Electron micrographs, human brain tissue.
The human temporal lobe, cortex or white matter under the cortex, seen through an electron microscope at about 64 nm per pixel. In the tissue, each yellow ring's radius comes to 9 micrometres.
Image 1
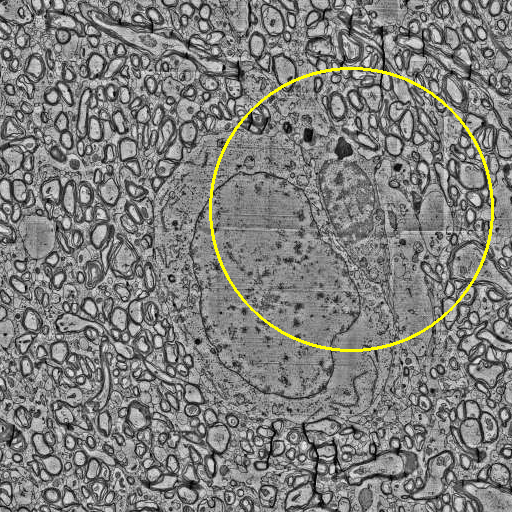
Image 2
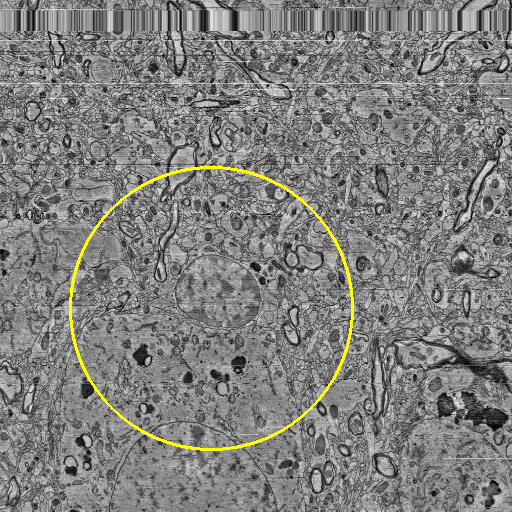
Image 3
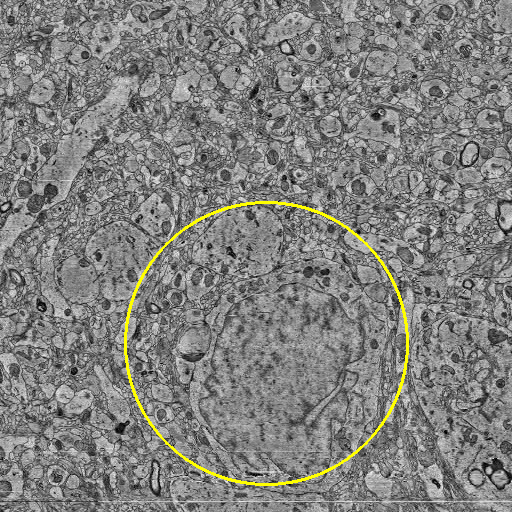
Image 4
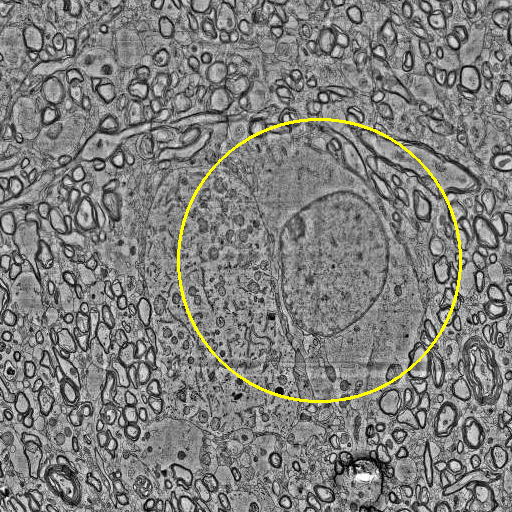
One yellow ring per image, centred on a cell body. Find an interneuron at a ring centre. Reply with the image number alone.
3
